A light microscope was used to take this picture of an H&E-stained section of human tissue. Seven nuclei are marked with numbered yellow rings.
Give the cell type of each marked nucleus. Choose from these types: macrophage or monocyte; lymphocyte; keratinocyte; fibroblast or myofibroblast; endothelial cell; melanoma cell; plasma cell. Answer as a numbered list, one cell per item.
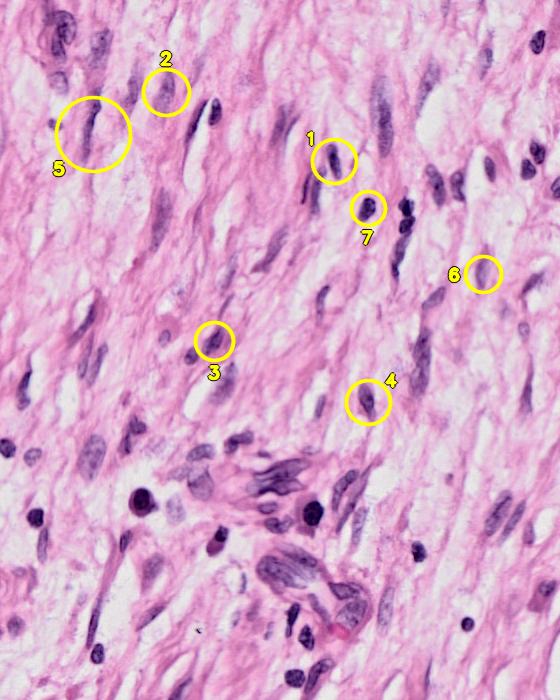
1. lymphocyte
2. fibroblast or myofibroblast
3. macrophage or monocyte
4. macrophage or monocyte
5. fibroblast or myofibroblast
6. fibroblast or myofibroblast
7. lymphocyte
